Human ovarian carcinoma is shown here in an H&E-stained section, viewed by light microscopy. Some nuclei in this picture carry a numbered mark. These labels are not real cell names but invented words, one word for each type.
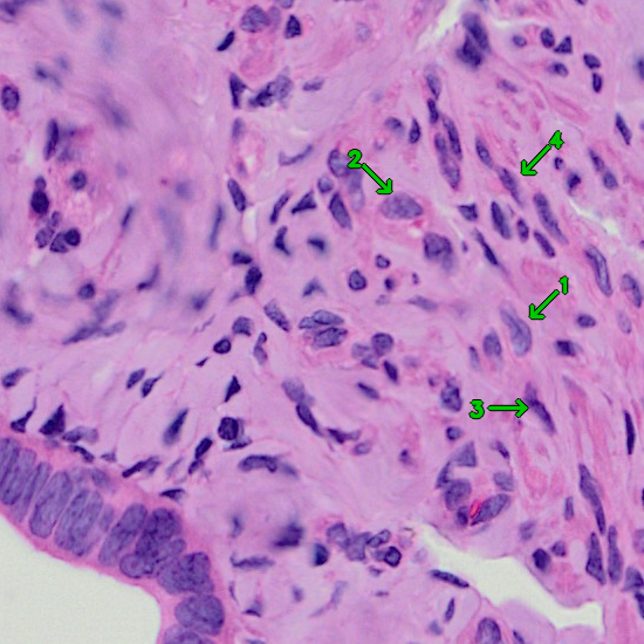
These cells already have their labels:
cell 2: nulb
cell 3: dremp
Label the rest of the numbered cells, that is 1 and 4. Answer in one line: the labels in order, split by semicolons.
dremp; dremp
